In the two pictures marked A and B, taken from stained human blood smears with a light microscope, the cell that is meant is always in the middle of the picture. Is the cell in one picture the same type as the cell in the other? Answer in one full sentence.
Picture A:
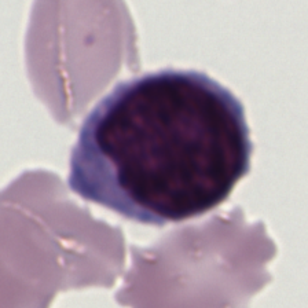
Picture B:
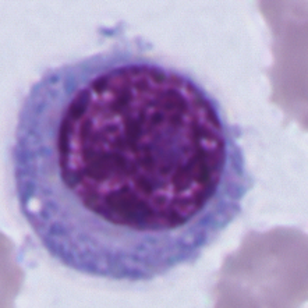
No. Picture A shows a typical lymphocyte, but picture B shows a plasma cell.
